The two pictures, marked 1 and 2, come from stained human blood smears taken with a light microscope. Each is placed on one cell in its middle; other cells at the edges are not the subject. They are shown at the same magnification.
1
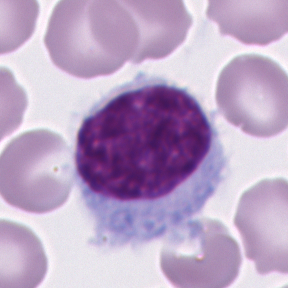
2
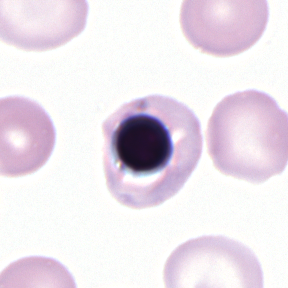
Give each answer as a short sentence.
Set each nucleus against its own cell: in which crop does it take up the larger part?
Of the two, the nucleus in picture 1 makes up the greater part of its cell.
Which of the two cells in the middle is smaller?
The cell in picture 2 is smaller; the one in picture 1 has about 2 times its area.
